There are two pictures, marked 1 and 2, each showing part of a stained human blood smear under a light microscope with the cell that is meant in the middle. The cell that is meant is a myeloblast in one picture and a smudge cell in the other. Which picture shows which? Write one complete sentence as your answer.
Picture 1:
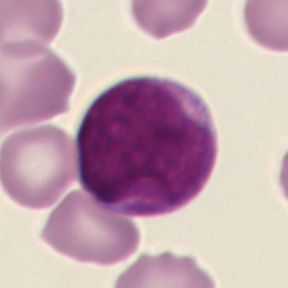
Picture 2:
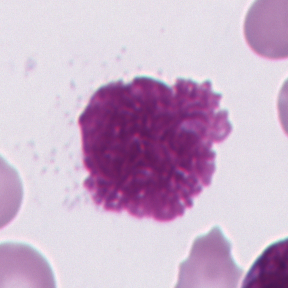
Picture 2 shows a smudge cell, while picture 1 shows a myeloblast.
